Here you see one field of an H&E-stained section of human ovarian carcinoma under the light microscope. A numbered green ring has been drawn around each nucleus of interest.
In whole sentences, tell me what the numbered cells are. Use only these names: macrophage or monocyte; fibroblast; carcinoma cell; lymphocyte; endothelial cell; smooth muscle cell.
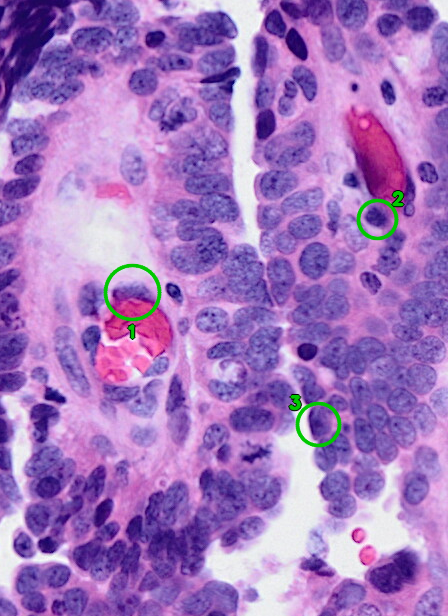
Cell 1 is an endothelial cell, cell 2 is a lymphocyte and cell 3 is a carcinoma cell.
